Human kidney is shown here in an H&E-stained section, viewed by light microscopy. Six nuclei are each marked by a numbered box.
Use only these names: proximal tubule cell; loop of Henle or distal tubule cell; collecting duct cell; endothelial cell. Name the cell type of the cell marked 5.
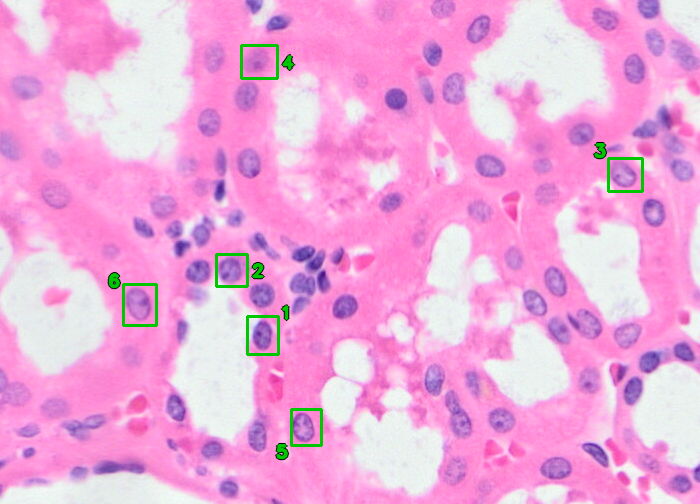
proximal tubule cell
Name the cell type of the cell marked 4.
proximal tubule cell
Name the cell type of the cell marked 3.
proximal tubule cell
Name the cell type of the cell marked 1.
loop of Henle or distal tubule cell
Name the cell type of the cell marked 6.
proximal tubule cell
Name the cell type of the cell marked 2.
loop of Henle or distal tubule cell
